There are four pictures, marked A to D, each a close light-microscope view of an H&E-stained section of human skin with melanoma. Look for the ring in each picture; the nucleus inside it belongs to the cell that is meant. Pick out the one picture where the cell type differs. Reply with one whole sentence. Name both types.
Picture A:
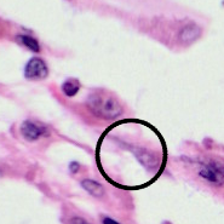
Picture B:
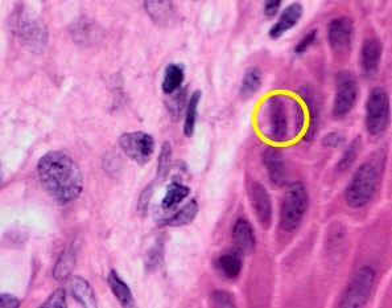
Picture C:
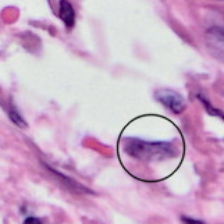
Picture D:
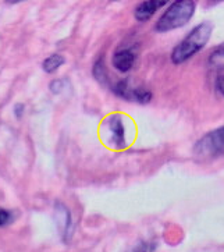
All pictures except B show “fibroblasts or myofibroblasts”; picture B shows a keratinocyte.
